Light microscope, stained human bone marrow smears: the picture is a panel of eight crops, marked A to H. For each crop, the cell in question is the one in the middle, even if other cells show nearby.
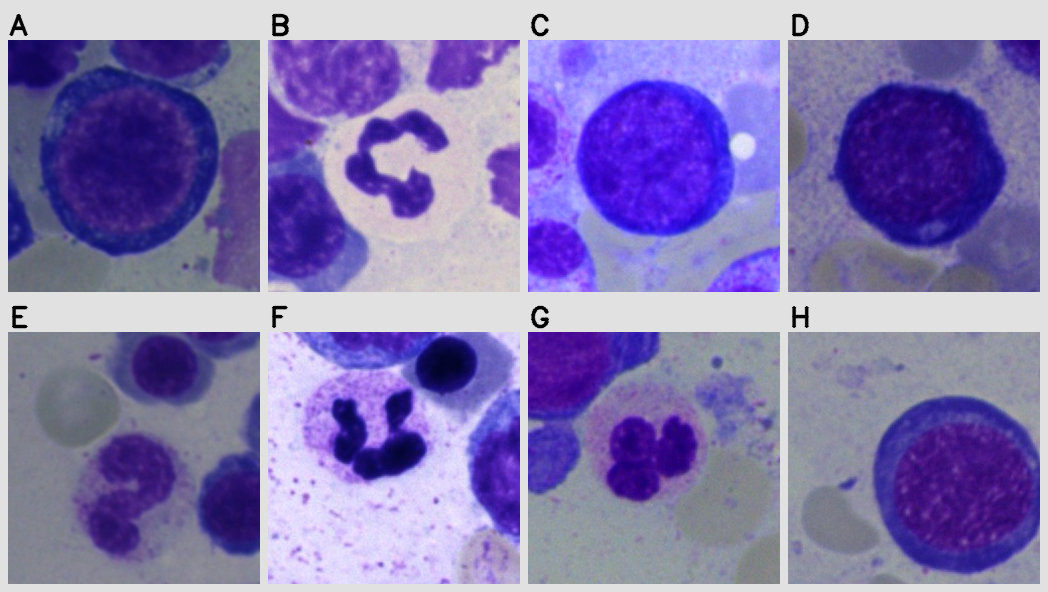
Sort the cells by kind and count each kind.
proerythroblast: 4
segmented neutrophil: 4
